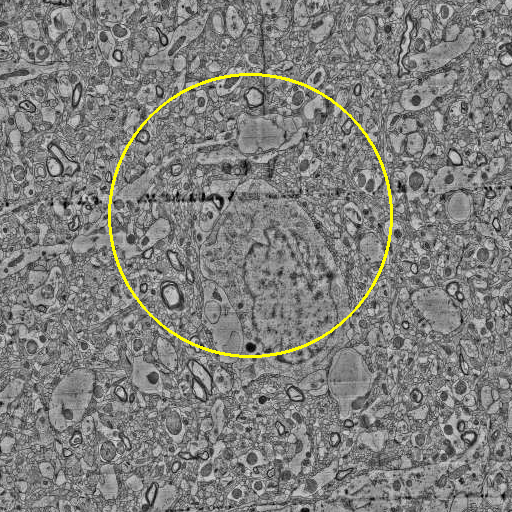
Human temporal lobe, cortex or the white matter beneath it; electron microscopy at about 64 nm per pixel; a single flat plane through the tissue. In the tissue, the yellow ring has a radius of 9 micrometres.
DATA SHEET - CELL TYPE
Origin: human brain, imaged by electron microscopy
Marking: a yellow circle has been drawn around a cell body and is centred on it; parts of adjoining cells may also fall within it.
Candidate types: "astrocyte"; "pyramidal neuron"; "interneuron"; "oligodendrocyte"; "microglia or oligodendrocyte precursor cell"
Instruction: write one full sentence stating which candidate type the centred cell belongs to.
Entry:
The cell body at the centre of the yellow ring in this micrograph belongs to an interneuron.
